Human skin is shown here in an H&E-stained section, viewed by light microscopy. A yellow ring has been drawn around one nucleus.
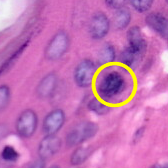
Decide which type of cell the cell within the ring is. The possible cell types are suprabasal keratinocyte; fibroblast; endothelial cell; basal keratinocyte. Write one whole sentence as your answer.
In short, the cell within the ring on this section is a basal keratinocyte.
